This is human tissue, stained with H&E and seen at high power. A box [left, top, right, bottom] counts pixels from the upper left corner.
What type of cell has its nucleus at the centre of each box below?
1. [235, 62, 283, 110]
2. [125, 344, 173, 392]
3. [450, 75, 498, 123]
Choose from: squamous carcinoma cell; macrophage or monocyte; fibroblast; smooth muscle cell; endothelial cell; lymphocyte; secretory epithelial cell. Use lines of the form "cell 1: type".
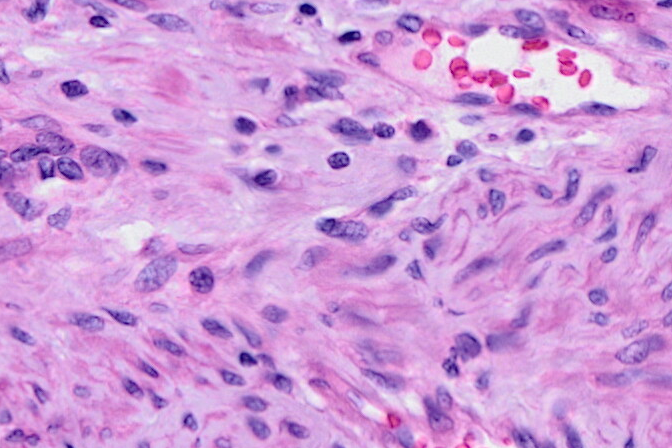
cell 1: fibroblast
cell 2: smooth muscle cell
cell 3: endothelial cell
